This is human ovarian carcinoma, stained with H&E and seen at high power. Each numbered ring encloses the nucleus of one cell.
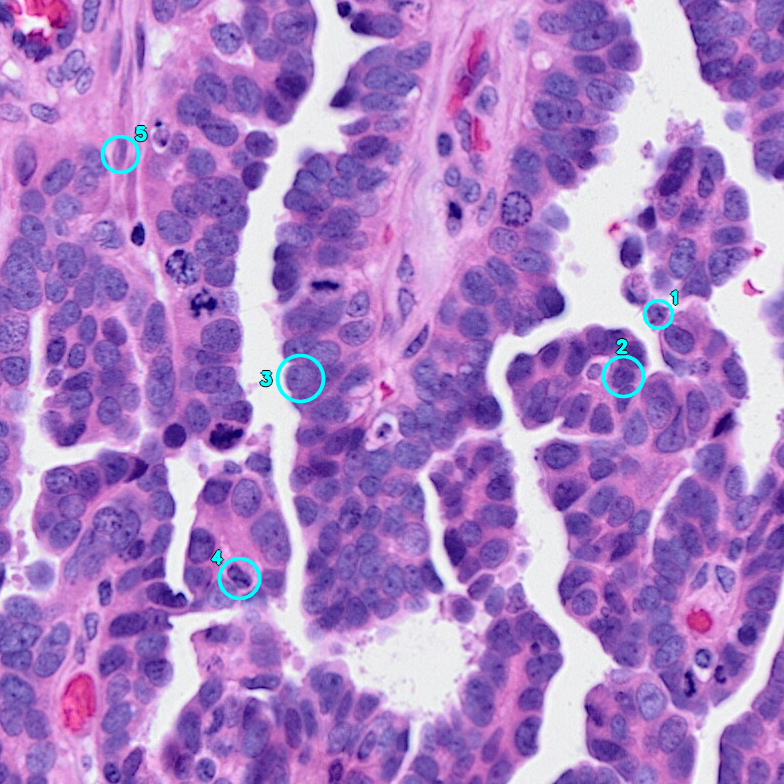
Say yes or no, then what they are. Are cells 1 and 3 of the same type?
No, whereas cell 3 is a carcinoma cell, cell 1 is a macrophage or monocyte.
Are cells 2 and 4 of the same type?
No, cell 2 is a carcinoma cell, and cell 4 is, by contrast, a macrophage or monocyte.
